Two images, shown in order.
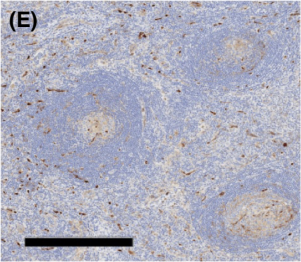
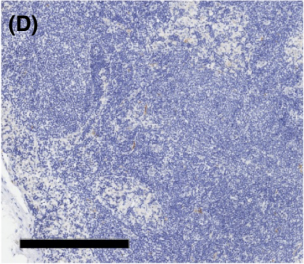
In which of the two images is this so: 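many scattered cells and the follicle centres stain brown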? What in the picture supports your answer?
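First image: numerous brown cells are scattered between nodules and the nodule centres are brown-tinged. Second image: the tissue is almost entirely blue with hardly any brown. That points to this answer: the first image.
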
